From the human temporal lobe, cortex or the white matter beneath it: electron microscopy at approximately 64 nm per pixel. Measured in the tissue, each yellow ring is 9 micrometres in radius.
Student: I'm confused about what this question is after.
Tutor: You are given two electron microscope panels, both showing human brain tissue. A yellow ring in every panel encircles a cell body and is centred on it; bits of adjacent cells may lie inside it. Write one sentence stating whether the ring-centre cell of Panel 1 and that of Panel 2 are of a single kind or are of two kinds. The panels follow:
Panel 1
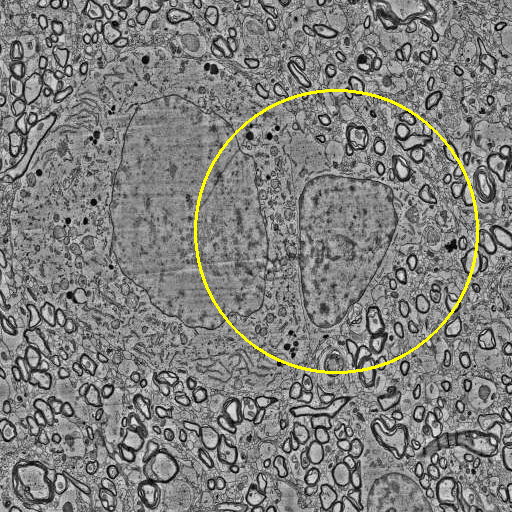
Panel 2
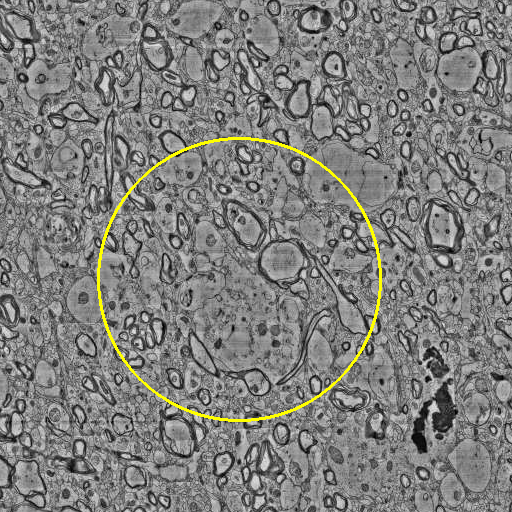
Here, the Panel 1 ring-centre cell and the Panel 2 ring-centre cell are of two kinds.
